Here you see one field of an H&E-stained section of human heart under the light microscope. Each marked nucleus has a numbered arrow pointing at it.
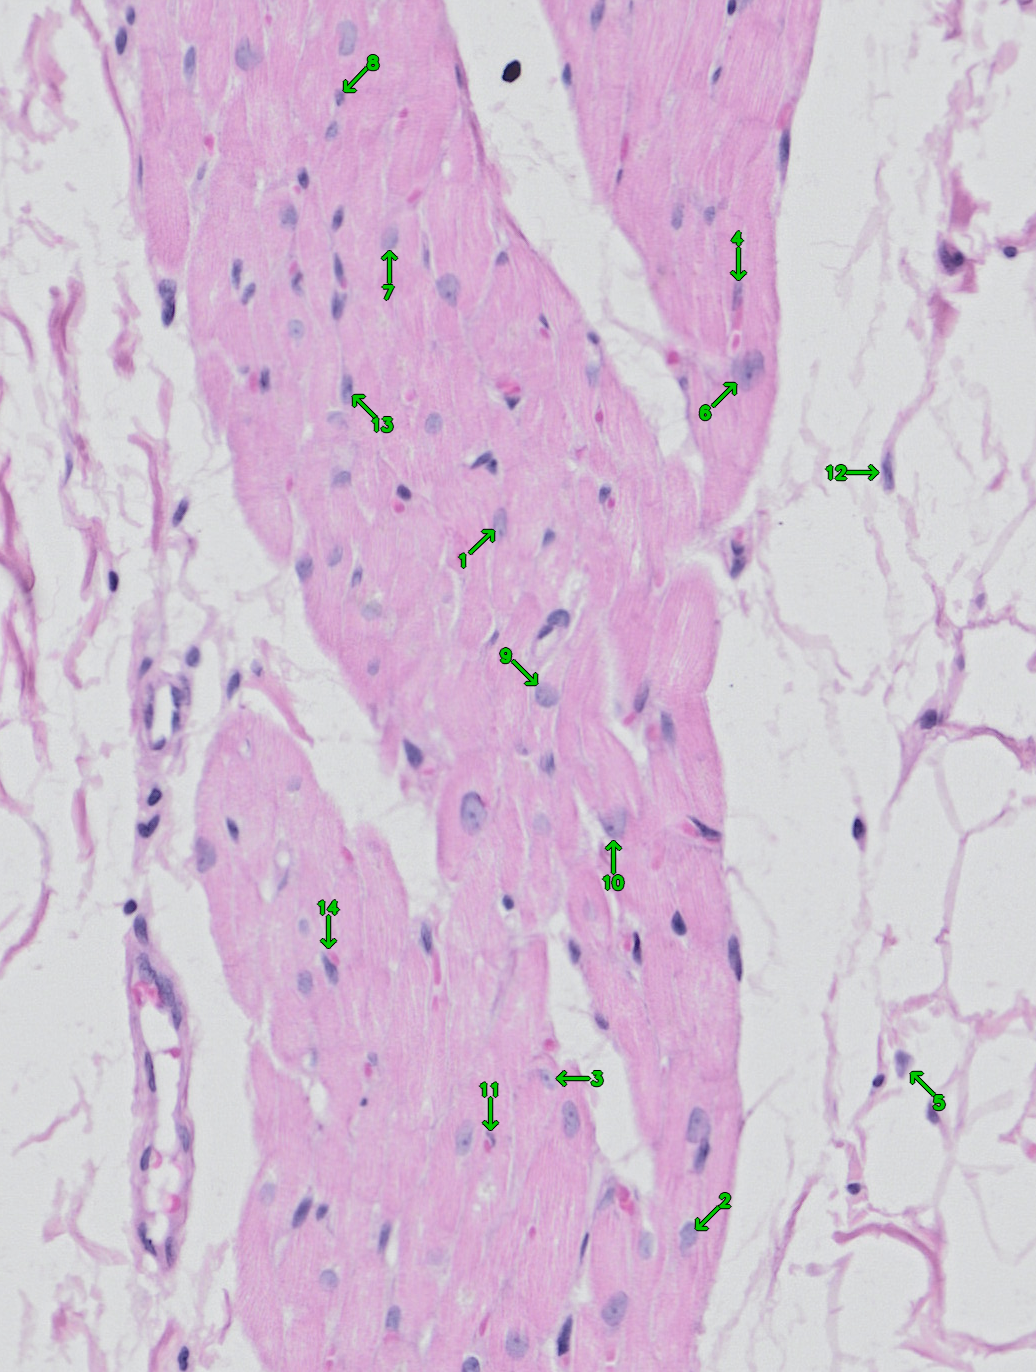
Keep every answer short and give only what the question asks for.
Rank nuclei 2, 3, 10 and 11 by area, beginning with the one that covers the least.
11, 3, 2, 10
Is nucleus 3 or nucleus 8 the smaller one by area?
8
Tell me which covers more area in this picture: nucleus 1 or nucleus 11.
1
